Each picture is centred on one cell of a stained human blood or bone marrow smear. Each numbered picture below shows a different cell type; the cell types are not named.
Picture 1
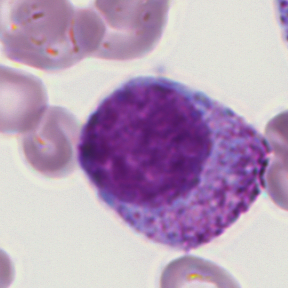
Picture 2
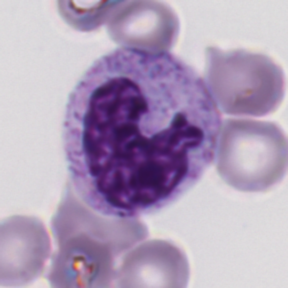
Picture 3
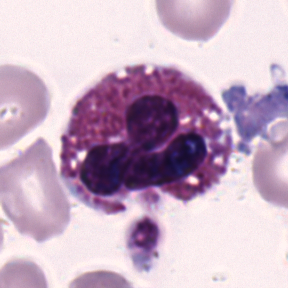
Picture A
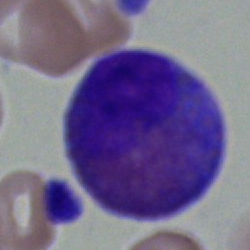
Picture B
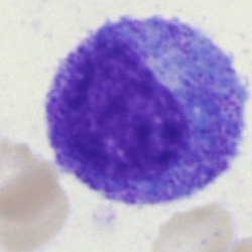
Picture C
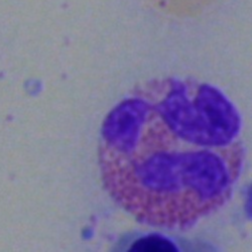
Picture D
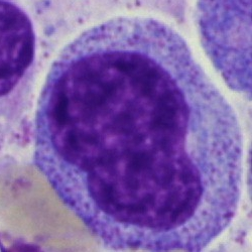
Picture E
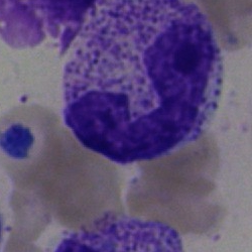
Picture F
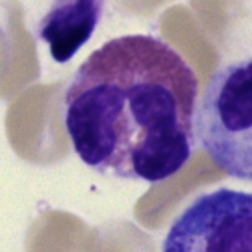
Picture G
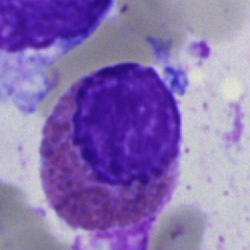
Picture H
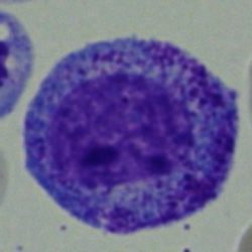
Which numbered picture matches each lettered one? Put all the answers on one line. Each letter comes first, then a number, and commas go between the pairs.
A 3, B 1, C 3, D 1, E 2, F 3, G 3, H 1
